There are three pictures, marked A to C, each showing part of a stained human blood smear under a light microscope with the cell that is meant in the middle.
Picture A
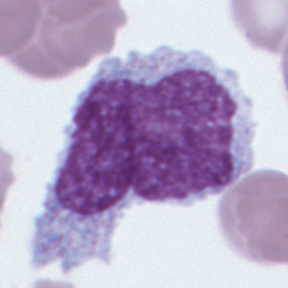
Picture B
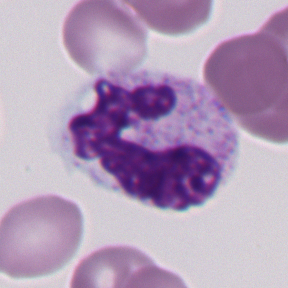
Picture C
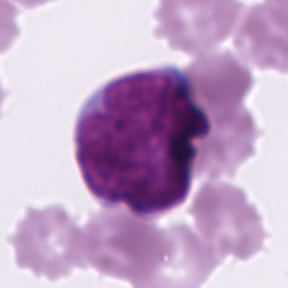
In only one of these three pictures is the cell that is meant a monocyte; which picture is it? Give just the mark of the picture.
A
